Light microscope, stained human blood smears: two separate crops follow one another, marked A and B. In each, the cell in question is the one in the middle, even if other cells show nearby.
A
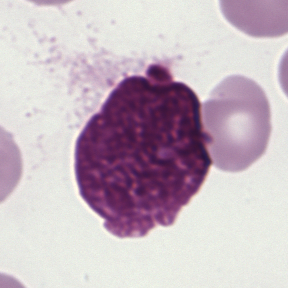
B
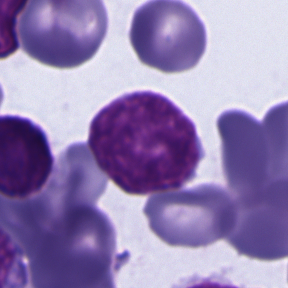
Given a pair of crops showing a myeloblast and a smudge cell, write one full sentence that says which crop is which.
Crop A is a smudge cell, whereas a myeloblast is found in crop B.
